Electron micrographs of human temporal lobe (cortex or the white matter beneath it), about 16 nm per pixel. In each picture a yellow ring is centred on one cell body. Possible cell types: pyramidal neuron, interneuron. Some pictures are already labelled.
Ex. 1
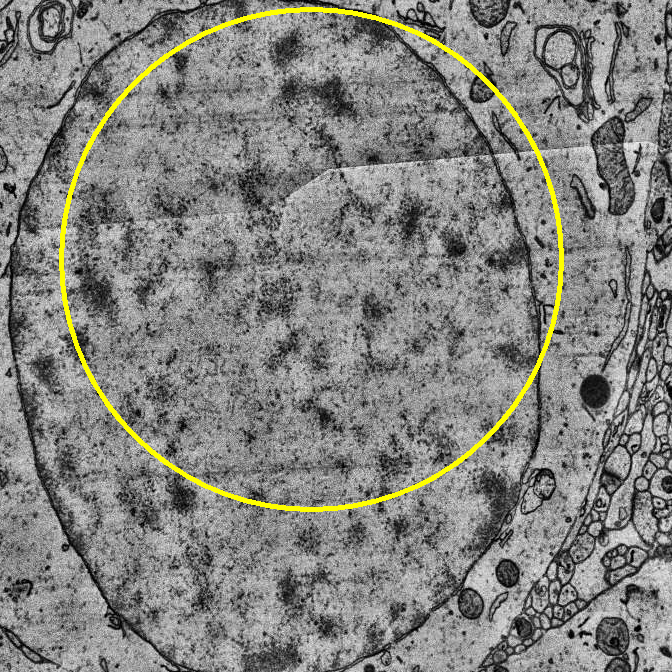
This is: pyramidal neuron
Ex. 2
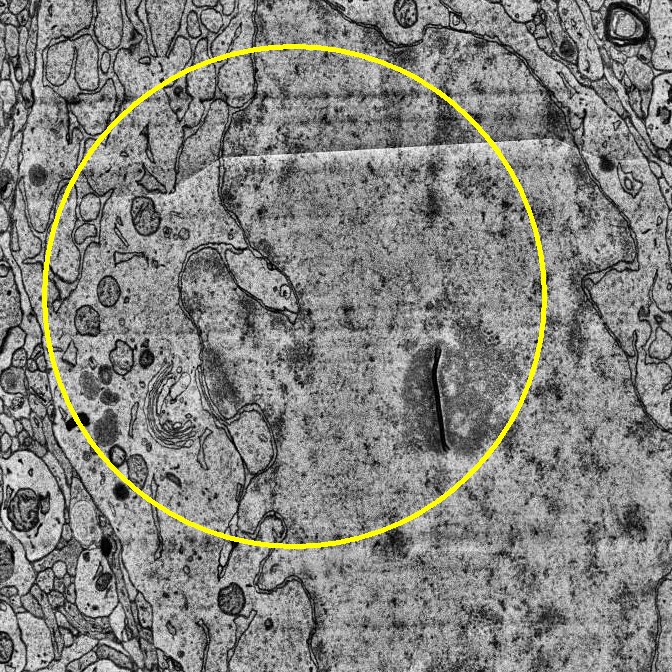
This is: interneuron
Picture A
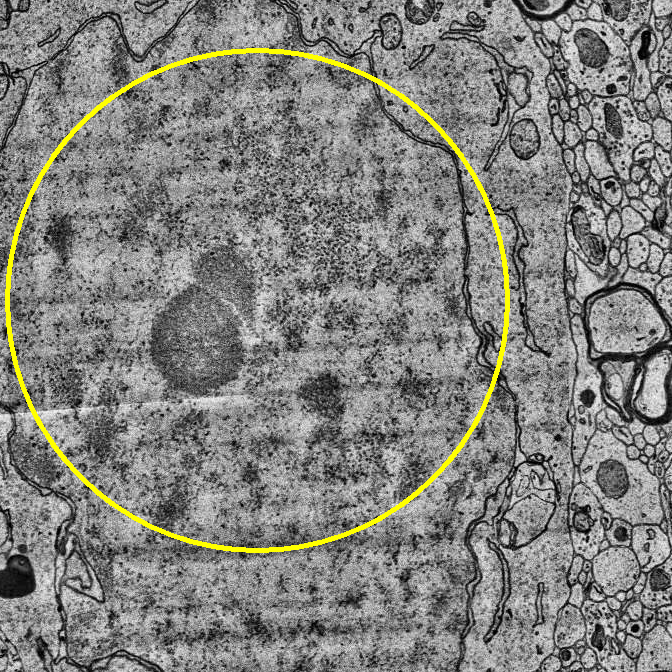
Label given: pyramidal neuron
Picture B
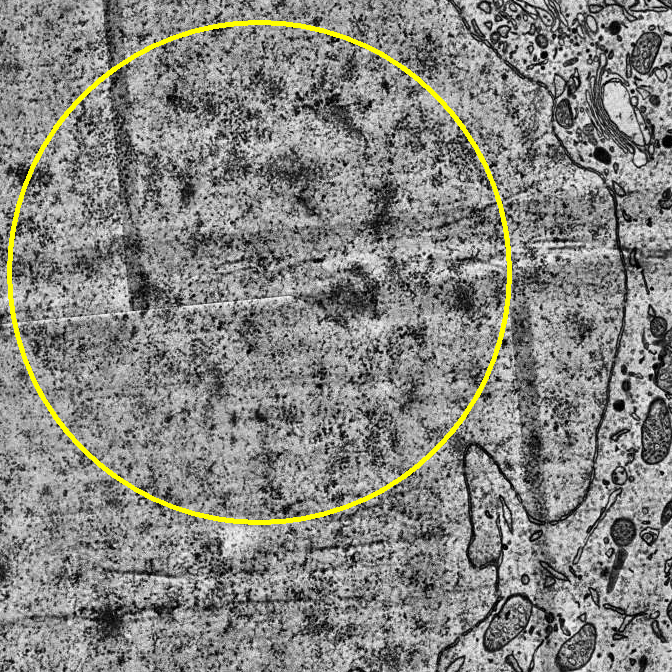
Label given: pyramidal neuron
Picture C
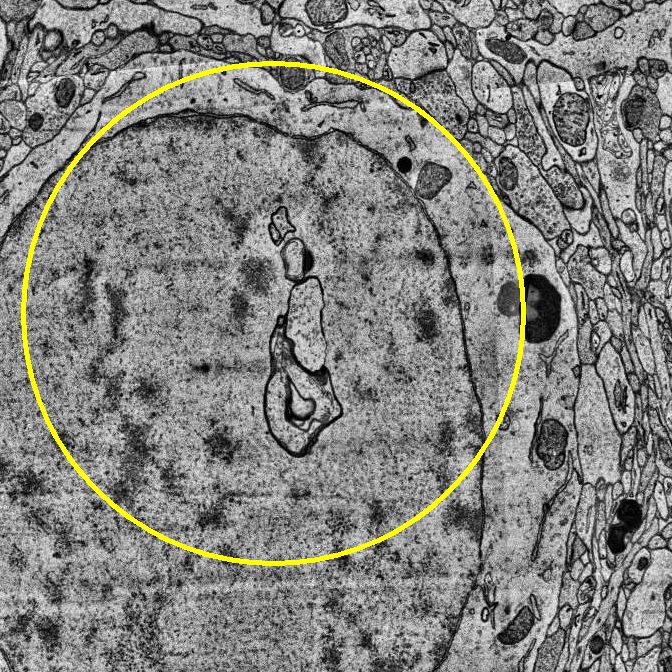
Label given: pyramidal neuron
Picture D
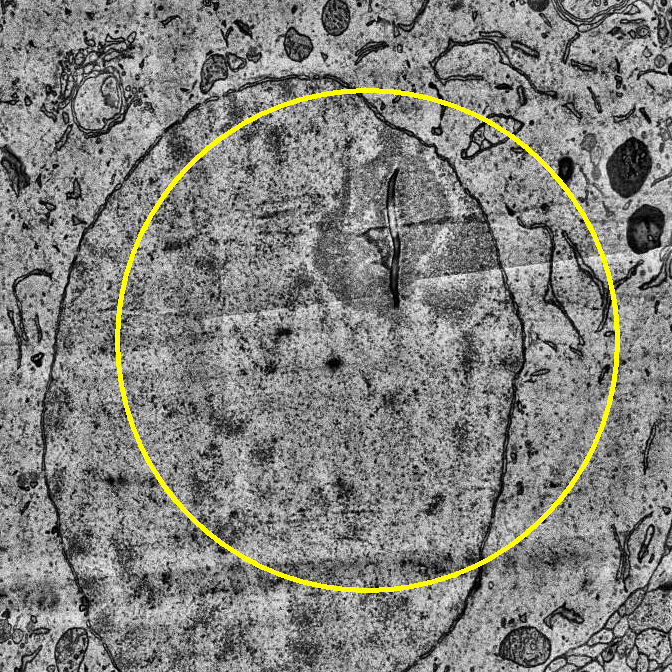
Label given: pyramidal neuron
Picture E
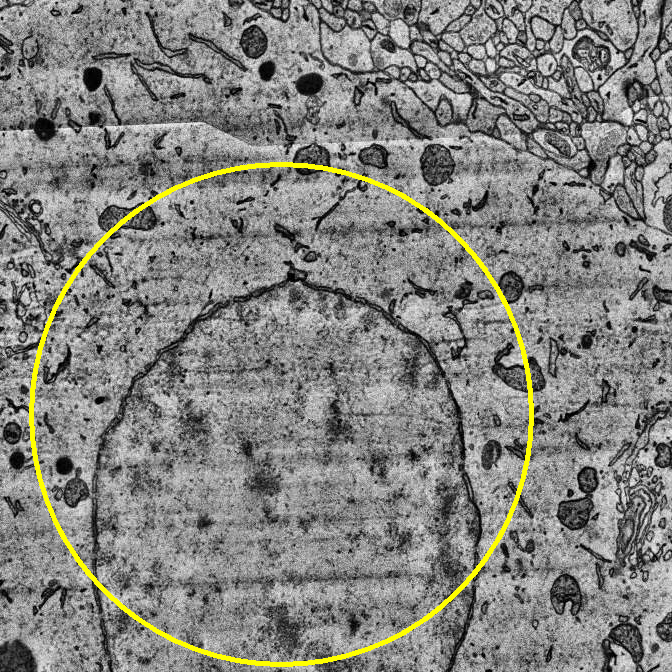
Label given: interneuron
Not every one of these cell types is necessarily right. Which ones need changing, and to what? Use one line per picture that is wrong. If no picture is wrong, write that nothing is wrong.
A should be interneuron, not pyramidal neuron
E should be pyramidal neuron, not interneuron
